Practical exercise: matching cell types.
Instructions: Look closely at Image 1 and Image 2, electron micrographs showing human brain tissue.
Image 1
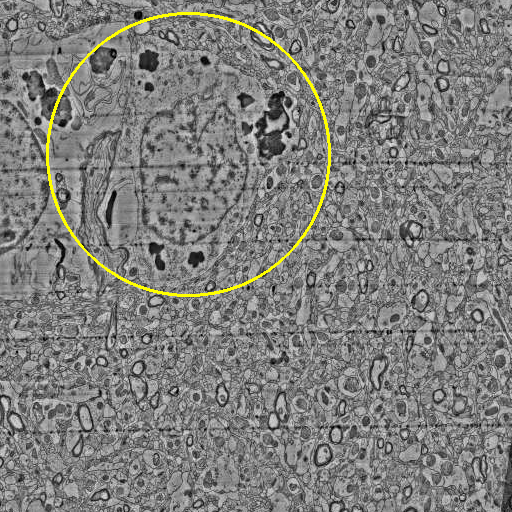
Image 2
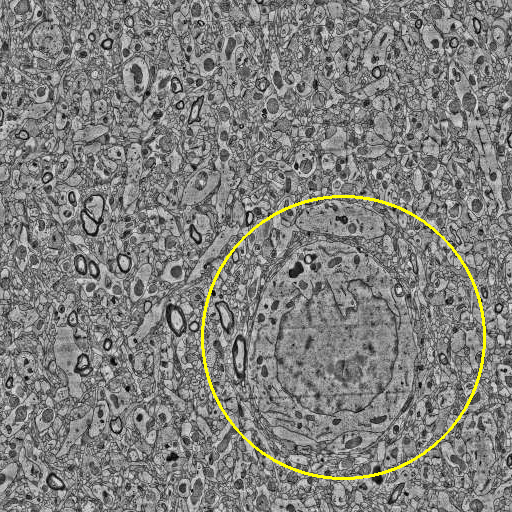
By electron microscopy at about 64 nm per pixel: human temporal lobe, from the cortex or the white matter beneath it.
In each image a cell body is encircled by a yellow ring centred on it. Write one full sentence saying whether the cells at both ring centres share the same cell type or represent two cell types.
Across Image 1 and Image 2, the cells at the ring centres share the same cell type.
